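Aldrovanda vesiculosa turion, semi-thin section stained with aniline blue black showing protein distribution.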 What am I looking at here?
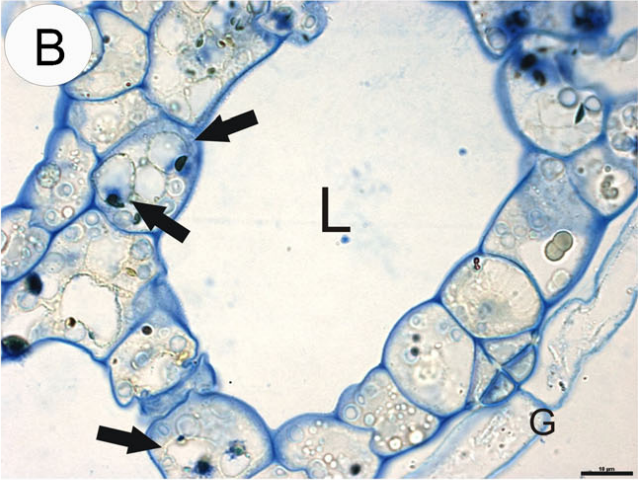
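The cytoplasm of the cells is pale and crowded with small round granules and vacuole-like inclusions, some of which stain dark blue-black. Here and there denser dark bodies sit within cells. At the lower right, thinner flattened cells form the surface gland beside the rounded cells. The cells touch one another at their walls, leaving the lacuna open in the middle.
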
